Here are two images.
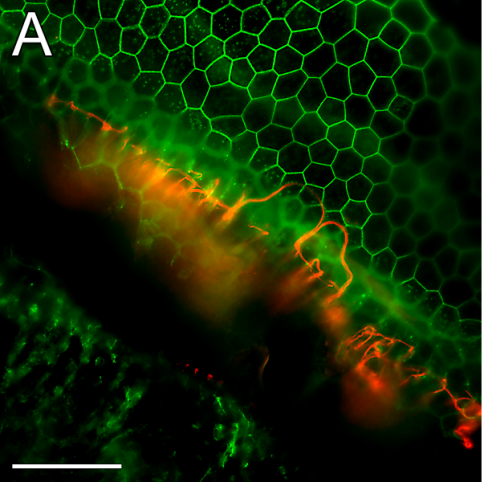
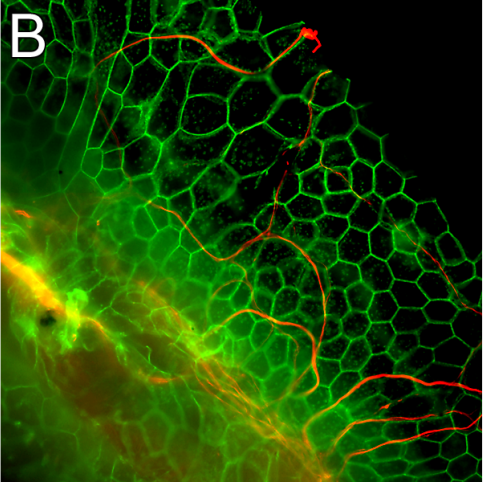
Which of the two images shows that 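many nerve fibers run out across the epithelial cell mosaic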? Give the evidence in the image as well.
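Second image: numerous long red threads cross far over the green polygonal cells. First image: red threads stay near one edge of the cell mosaic and curl in loops. On this evidence: the second image.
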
